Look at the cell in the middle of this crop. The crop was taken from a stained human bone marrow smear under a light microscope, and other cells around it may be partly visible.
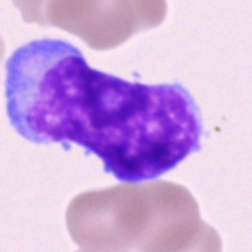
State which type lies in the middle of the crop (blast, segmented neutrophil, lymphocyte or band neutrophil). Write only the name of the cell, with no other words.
blast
